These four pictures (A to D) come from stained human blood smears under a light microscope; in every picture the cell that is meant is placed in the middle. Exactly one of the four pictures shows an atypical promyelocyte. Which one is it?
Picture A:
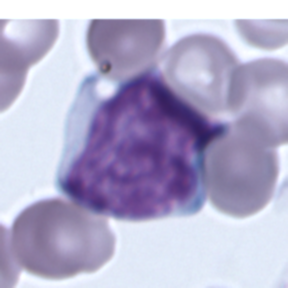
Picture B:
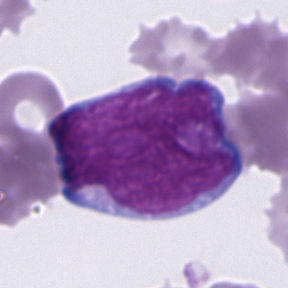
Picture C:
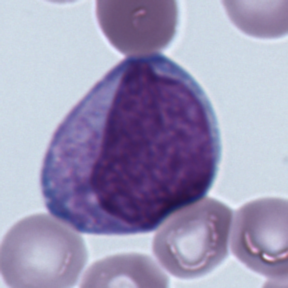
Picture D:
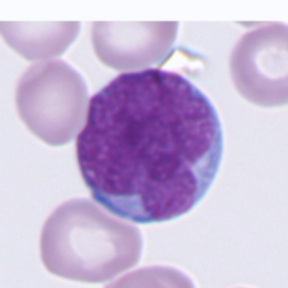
C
